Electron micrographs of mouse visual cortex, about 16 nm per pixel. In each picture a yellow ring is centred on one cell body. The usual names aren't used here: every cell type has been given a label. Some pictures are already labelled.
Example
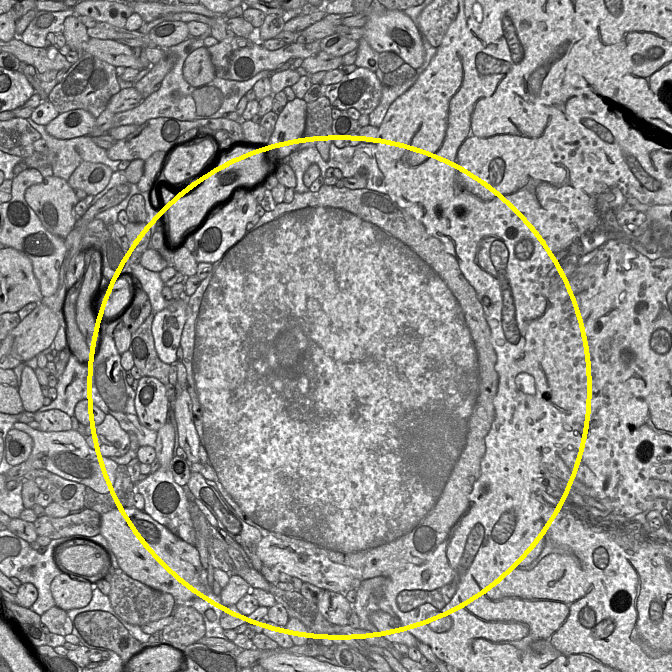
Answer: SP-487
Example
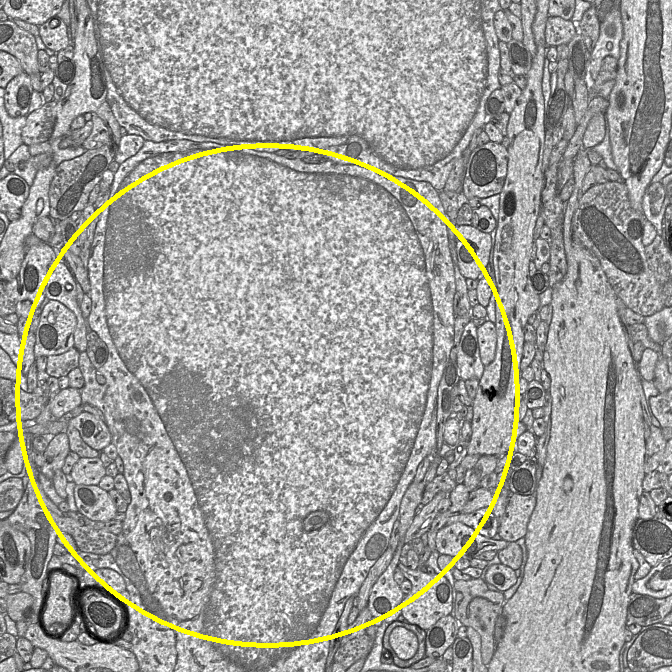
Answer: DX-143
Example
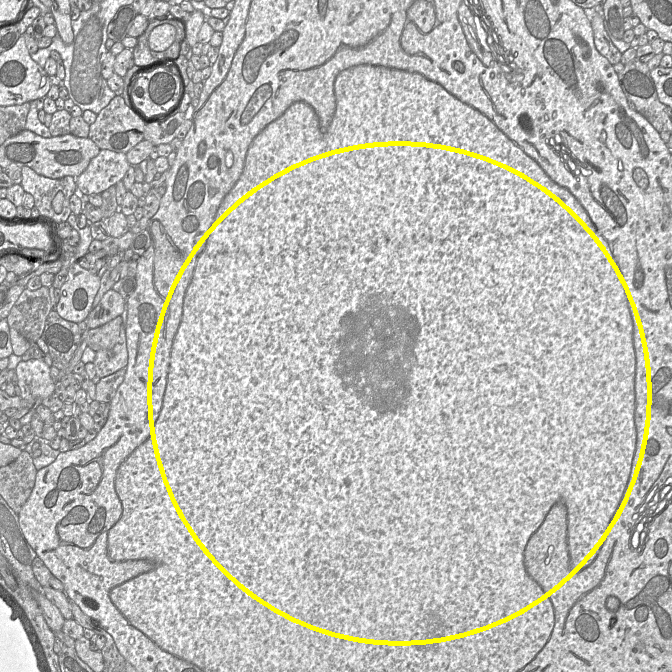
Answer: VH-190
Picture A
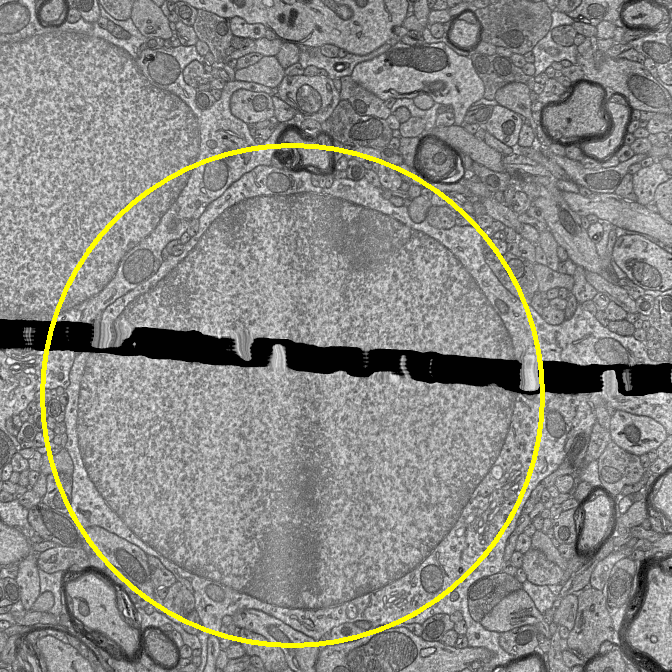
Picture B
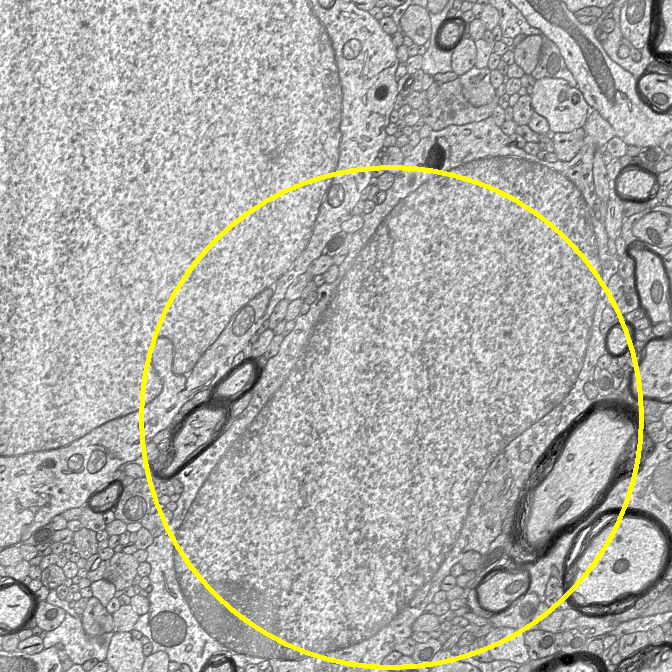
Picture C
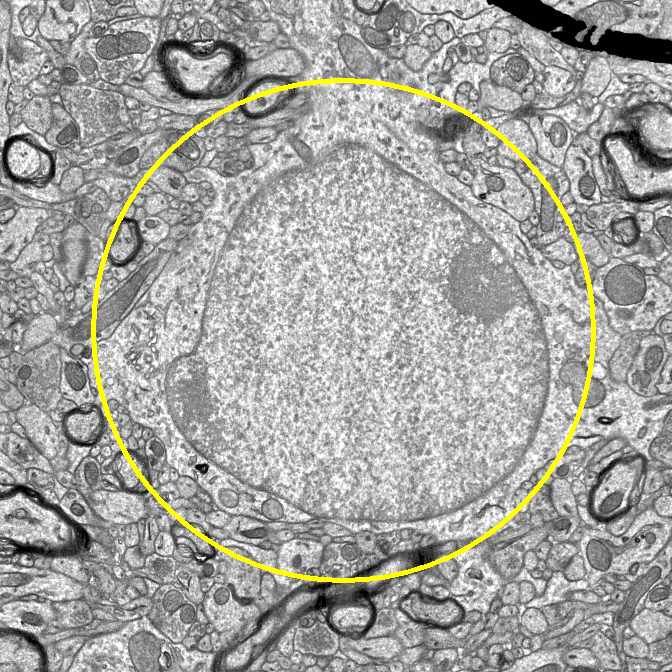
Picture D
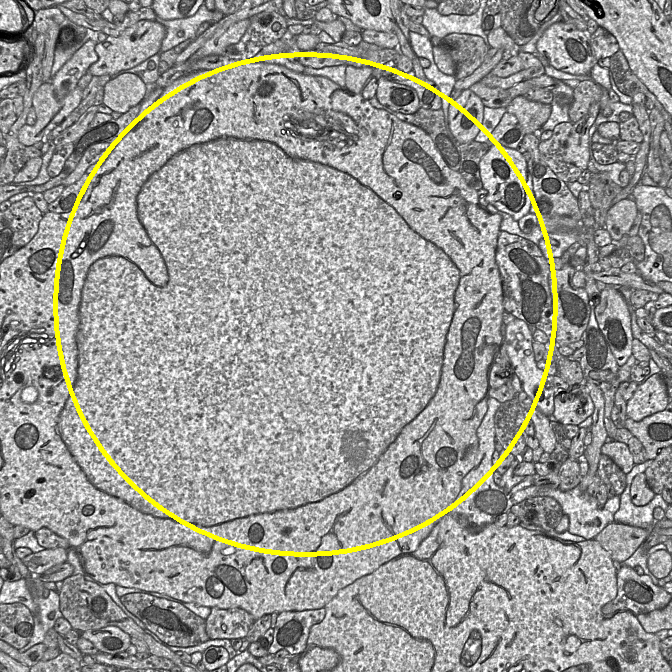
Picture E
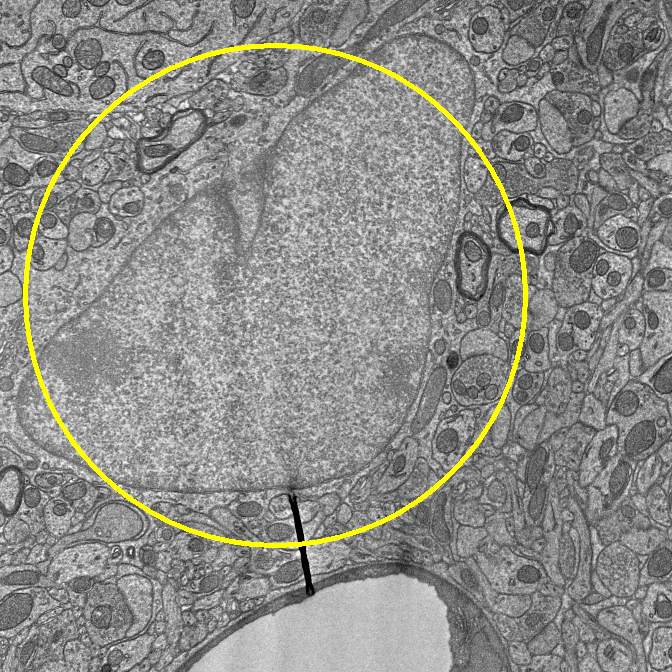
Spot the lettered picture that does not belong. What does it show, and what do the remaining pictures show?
Exception: D, showing VH-190. Remaining pictures: DX-143.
